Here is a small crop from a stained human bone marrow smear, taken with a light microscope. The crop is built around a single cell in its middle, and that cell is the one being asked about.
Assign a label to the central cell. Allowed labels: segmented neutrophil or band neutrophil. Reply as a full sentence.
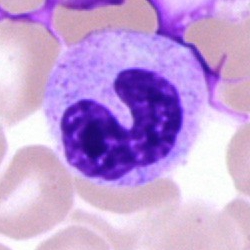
The center cell of this crop is a band neutrophil.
